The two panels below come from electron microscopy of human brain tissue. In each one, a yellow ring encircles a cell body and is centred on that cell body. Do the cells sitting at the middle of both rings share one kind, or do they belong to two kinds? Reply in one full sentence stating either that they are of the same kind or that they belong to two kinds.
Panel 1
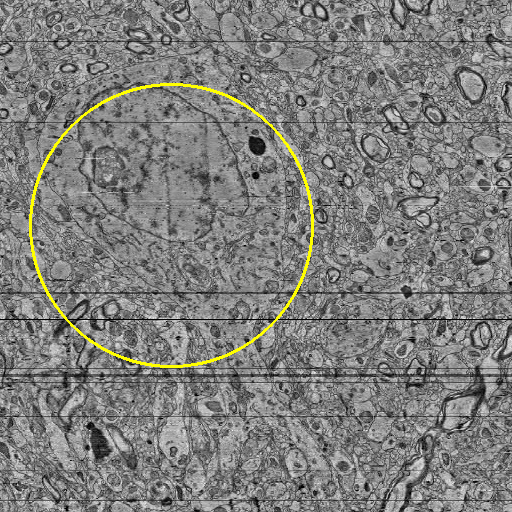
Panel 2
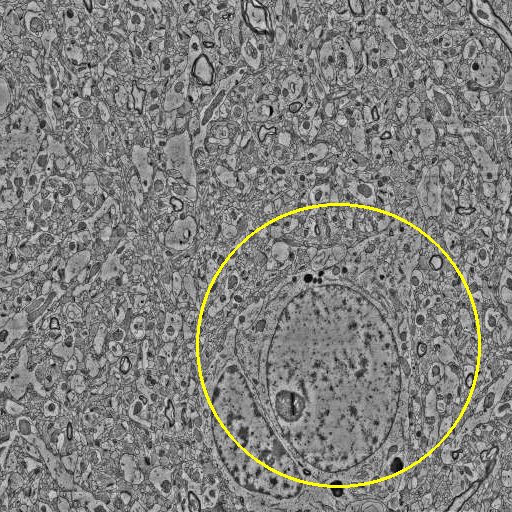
The cells at the centres of the two rings are of the same kind.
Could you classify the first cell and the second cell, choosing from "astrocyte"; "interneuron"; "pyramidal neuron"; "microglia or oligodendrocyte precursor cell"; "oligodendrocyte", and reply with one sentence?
In both pictures the ring is centred on a pyramidal neuron.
